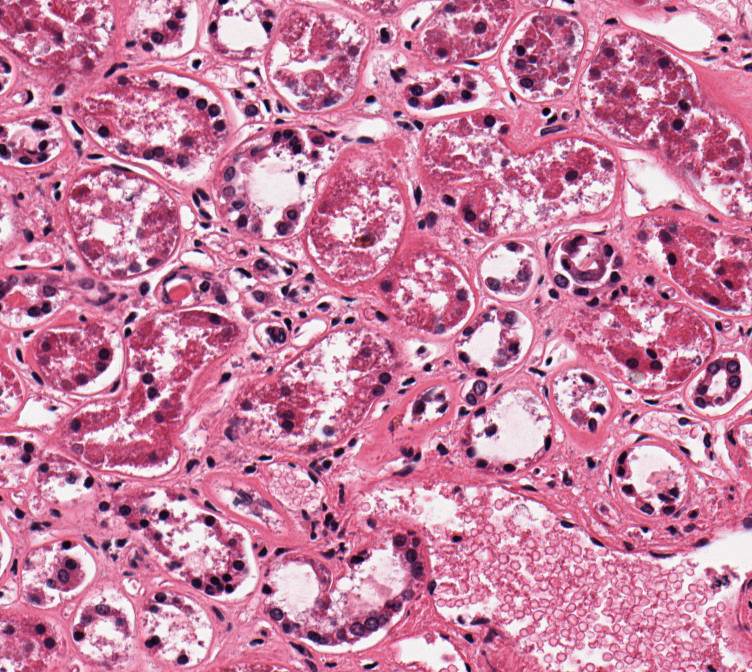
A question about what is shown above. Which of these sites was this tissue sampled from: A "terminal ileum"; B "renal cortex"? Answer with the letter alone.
B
